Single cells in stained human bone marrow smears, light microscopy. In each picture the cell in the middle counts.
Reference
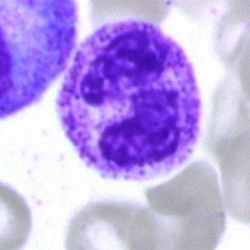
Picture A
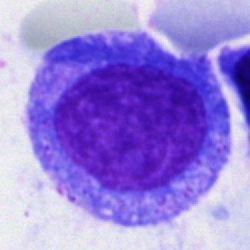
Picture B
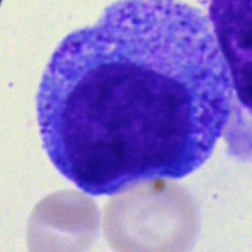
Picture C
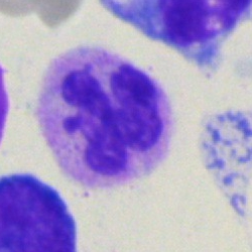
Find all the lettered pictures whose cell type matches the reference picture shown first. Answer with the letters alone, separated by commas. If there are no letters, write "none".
C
